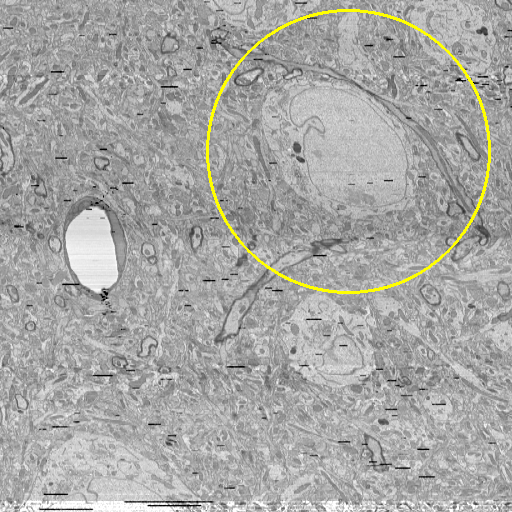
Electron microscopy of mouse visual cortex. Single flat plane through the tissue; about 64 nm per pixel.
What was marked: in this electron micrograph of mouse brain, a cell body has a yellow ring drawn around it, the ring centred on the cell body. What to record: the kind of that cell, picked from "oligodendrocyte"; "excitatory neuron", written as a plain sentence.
The centred cell is an excitatory neuron.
